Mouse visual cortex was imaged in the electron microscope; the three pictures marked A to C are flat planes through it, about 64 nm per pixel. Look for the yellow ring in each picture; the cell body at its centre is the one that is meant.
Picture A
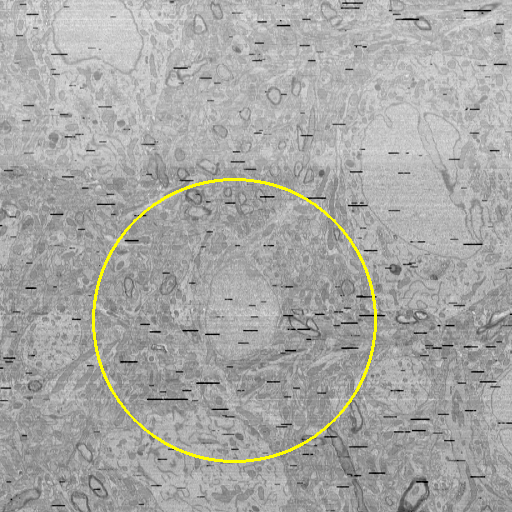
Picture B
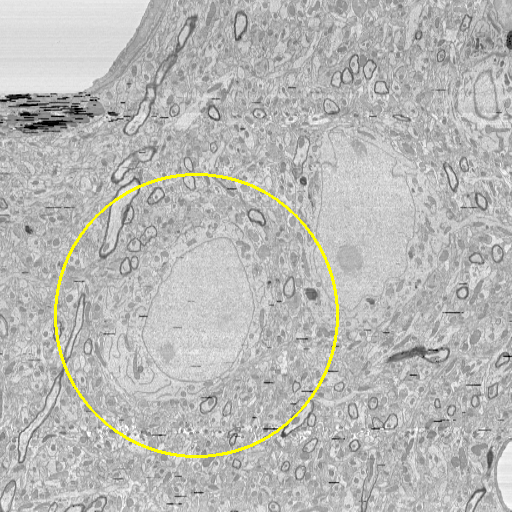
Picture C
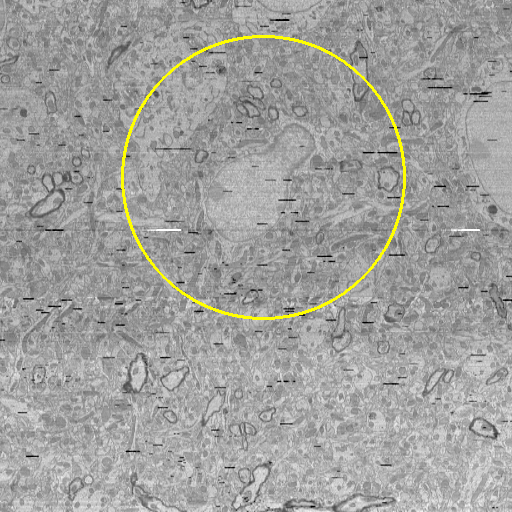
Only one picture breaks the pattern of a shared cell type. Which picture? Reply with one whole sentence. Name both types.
The different one is picture B; it shows an excitatory neuron, whereas all the others show astrocytes.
